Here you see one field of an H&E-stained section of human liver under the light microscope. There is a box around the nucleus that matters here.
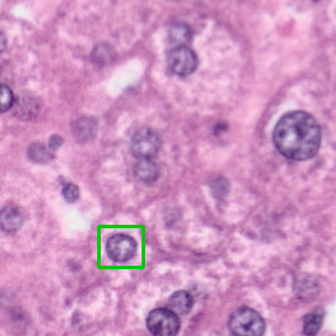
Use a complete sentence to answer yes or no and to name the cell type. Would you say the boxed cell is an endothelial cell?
No, far from being an endothelial cell, the boxed cell is a hepatocyte.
